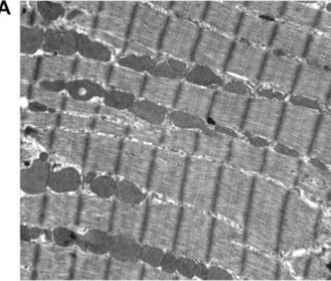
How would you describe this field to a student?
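This is heart muscle seen at low electron-microscope magnification, showing the inside of cardiomyocytes. Myofibrils run in parallel across the field, each divided into regular sarcomeres by dark transverse Z lines. Between the myofibrils lie rows of oval, dark-grey mitochondria, lined up neatly along the fibrils. The arrangement is orderly, with little empty space between the contractile bundles and the mitochondria.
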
